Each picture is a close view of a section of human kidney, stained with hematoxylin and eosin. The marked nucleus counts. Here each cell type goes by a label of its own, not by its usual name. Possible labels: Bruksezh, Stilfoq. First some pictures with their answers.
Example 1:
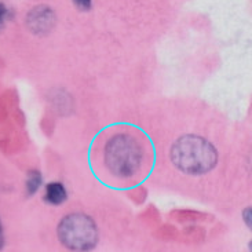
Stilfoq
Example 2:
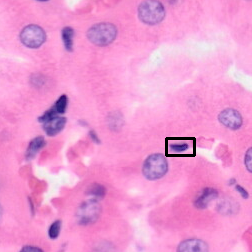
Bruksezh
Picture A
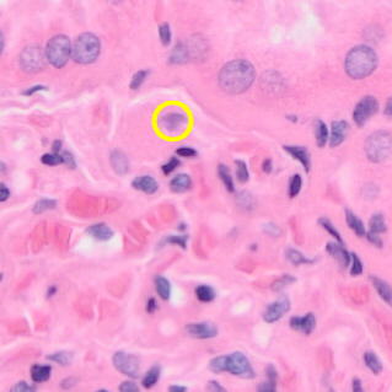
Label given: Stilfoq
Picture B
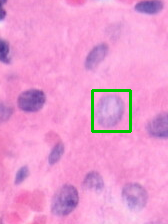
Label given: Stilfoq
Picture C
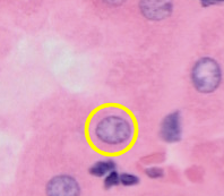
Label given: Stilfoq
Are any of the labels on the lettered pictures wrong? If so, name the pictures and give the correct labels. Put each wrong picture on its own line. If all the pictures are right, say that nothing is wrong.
A: change Stilfoq to Bruksezh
